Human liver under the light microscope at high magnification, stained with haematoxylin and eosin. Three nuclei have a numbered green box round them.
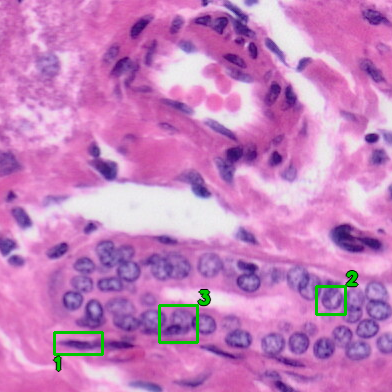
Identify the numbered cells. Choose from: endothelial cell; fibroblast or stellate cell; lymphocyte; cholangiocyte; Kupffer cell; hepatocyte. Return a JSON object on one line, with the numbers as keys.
{"1": "fibroblast or stellate cell", "2": "cholangiocyte", "3": "cholangiocyte"}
